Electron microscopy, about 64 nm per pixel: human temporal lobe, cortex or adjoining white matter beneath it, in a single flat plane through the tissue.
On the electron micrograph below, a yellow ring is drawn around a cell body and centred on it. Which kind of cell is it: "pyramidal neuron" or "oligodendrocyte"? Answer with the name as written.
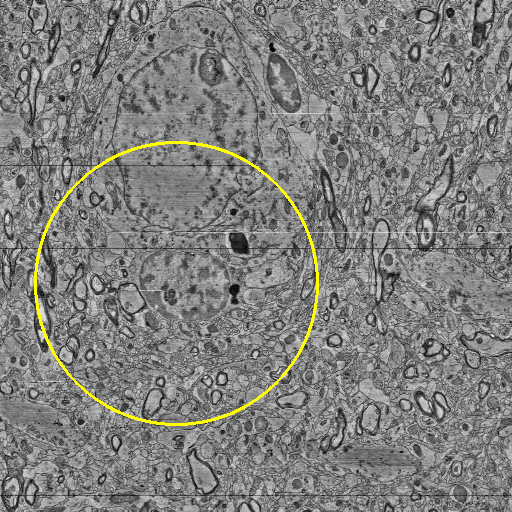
oligodendrocyte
